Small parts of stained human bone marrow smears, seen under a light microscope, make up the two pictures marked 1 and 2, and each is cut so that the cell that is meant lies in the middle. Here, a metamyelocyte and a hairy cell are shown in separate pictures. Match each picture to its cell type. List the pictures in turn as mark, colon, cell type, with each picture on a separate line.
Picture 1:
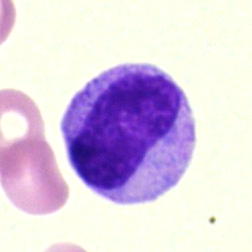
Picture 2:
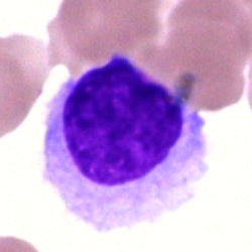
1: metamyelocyte
2: hairy cell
